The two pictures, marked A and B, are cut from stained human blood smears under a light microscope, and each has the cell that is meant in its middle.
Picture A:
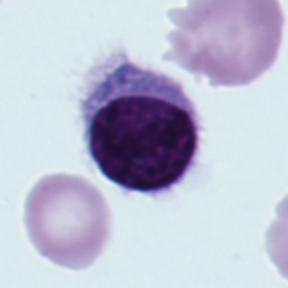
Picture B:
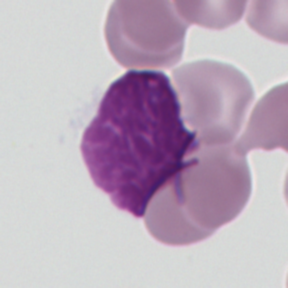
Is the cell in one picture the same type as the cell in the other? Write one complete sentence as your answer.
No. Picture A shows a hairy cell, but picture B shows a smudge cell.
